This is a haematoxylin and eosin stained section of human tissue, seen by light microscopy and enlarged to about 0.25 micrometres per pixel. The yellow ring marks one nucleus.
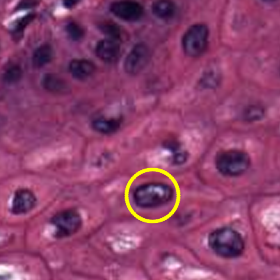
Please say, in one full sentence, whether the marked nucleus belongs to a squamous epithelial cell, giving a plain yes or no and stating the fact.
Yes, the marked nucleus is a part of a squamous epithelial cell.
